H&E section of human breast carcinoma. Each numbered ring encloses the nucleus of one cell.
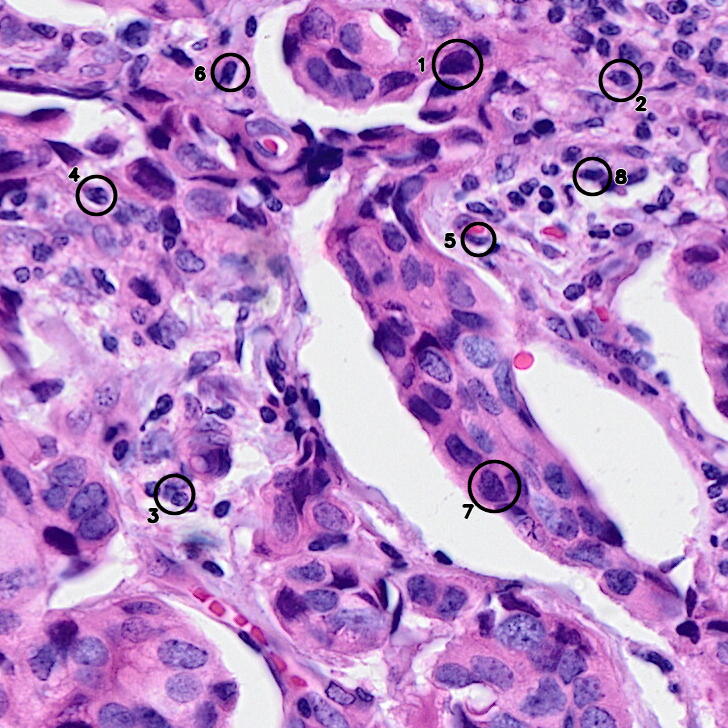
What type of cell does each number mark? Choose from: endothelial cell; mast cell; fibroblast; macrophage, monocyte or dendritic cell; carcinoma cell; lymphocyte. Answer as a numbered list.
1. carcinoma cell
2. lymphocyte
3. lymphocyte
4. lymphocyte
5. endothelial cell
6. lymphocyte
7. carcinoma cell
8. lymphocyte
